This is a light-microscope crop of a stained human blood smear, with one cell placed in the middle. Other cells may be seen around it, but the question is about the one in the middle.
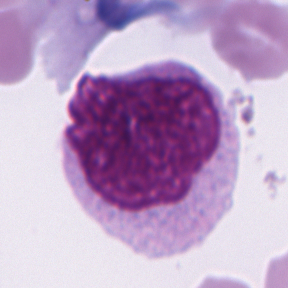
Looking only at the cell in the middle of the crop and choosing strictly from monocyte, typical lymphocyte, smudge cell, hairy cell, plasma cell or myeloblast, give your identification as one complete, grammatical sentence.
Here the centrally located cell is a monocyte.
